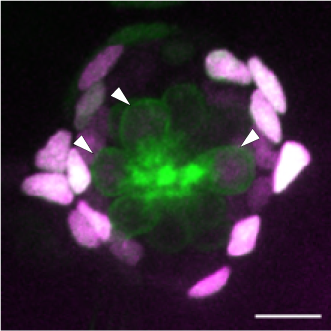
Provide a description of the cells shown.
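Here a neuromast shows a central rosette of green hair cells flanked on the left and right by two crescents of magenta nuclei. The flanking nuclei are oval to elongated, some bright enough to appear nearly white where they overlap faint green. The hair cells in the middle are rounded with thin green outlines and a brighter green centre where their tops converge. Only a few faint magenta nuclei lie at the edge of the green cluster, marked by white arrowheads, showing hair cells that also carry the magenta label; most hair cells lack it.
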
